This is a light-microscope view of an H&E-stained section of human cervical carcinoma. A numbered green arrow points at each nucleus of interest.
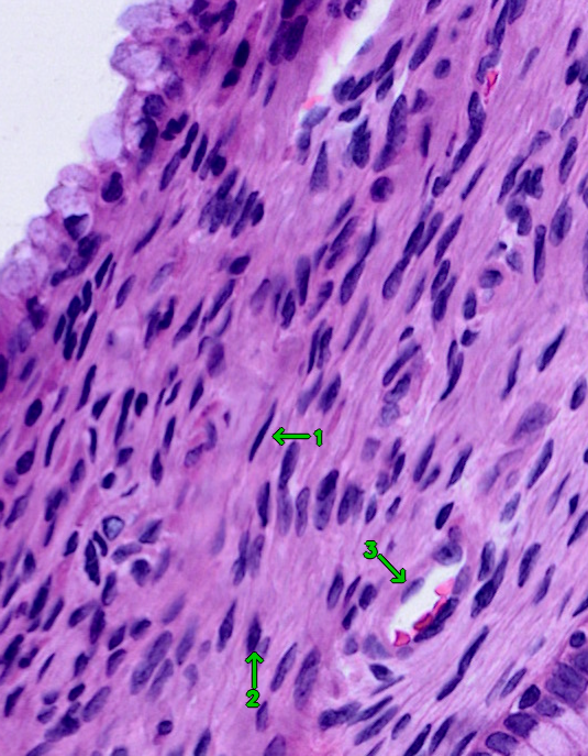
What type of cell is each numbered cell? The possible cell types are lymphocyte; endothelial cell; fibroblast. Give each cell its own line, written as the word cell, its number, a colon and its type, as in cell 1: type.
cell 1: fibroblast
cell 2: fibroblast
cell 3: endothelial cell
